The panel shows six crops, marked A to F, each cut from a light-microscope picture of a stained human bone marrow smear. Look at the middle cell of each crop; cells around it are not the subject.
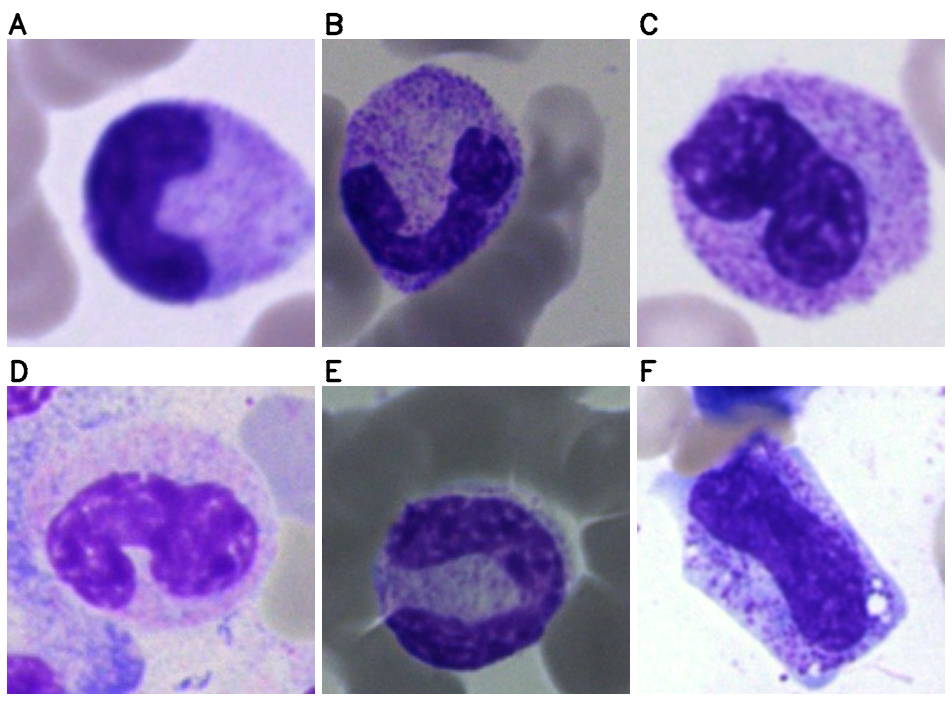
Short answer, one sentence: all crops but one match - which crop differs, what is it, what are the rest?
Crop B is the sole crop with a segmented neutrophil; the others all have band neutrophils.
